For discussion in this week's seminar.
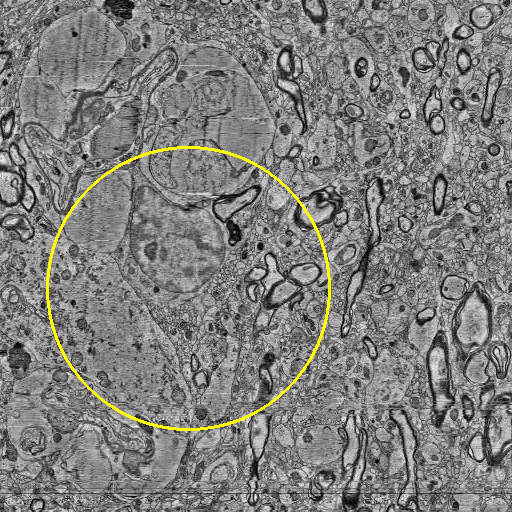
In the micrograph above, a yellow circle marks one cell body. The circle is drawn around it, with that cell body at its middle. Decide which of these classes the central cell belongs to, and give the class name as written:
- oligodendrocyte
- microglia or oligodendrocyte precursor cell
oligodendrocyte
